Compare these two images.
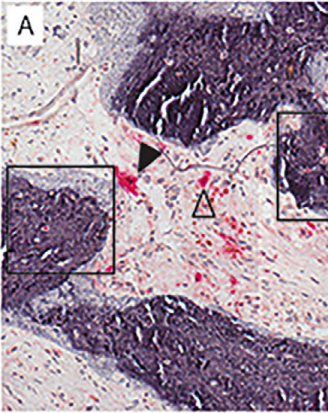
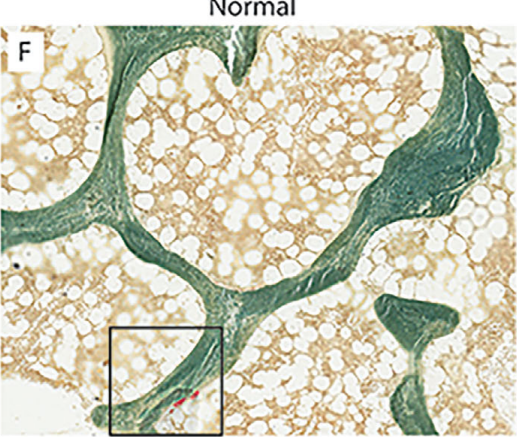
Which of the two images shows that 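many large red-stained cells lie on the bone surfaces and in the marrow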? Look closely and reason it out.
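The first image. Second image: thin green bone in fatty marrow with only one small red spot on a bone surface.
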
